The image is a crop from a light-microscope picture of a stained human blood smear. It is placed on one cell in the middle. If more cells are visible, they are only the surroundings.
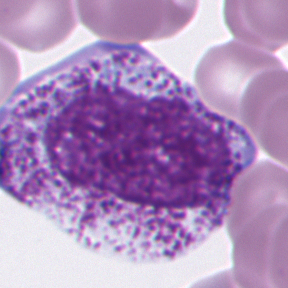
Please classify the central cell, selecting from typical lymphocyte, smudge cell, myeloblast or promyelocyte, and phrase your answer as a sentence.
Centrally within this crop lies a promyelocyte.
